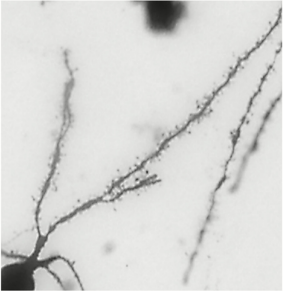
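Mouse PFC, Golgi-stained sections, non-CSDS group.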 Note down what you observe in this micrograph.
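A dark cell body sits at the lower left, and from it long dendrites run diagonally upward and branch. Along the dendrites, many short, small dark protrusions stand out, giving the branches a beaded, bristly outline; these are dendritic spines. A second dendrite runs alongside on the right, also studded with spines. A blurred dark shape near the top marks another cell lying outside the plane of focus. Only a few cells are impregnated, so single processes can be followed over long distances.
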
